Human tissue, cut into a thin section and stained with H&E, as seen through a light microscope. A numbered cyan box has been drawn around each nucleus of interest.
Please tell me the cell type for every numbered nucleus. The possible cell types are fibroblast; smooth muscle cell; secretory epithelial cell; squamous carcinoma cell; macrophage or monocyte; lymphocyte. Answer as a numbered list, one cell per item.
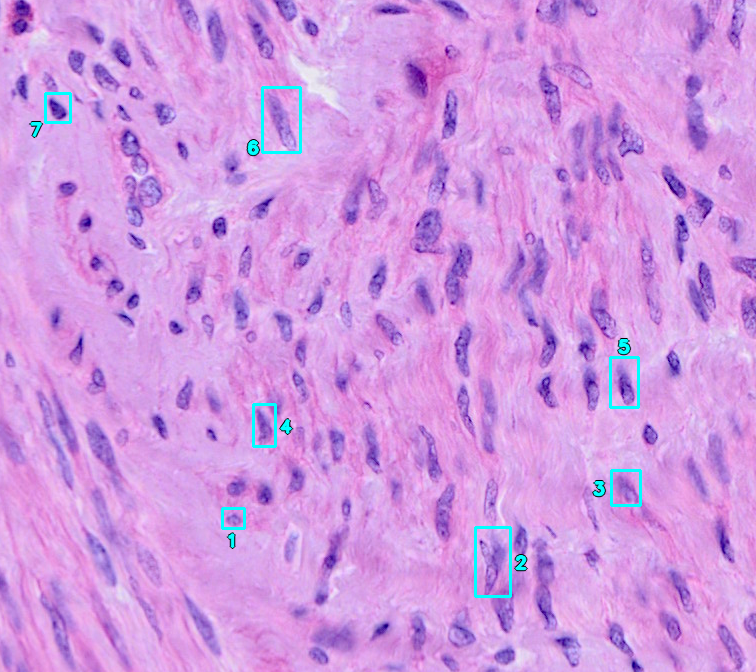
1. smooth muscle cell
2. fibroblast
3. smooth muscle cell
4. smooth muscle cell
5. fibroblast
6. smooth muscle cell
7. fibroblast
